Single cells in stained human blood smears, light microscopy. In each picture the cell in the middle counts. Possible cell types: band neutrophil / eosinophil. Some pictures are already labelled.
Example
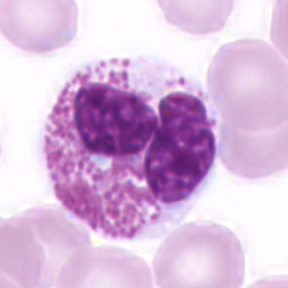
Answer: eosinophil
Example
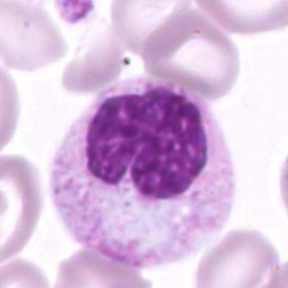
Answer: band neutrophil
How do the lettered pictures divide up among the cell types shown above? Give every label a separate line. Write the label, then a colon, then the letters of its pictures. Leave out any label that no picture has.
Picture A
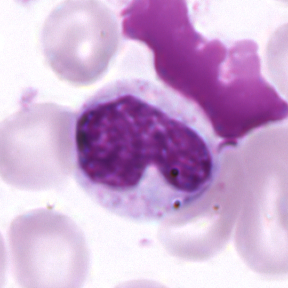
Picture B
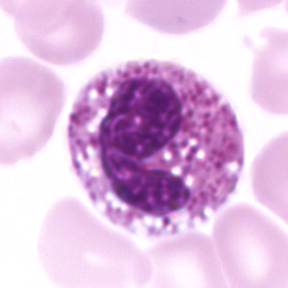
band neutrophil: A
eosinophil: B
